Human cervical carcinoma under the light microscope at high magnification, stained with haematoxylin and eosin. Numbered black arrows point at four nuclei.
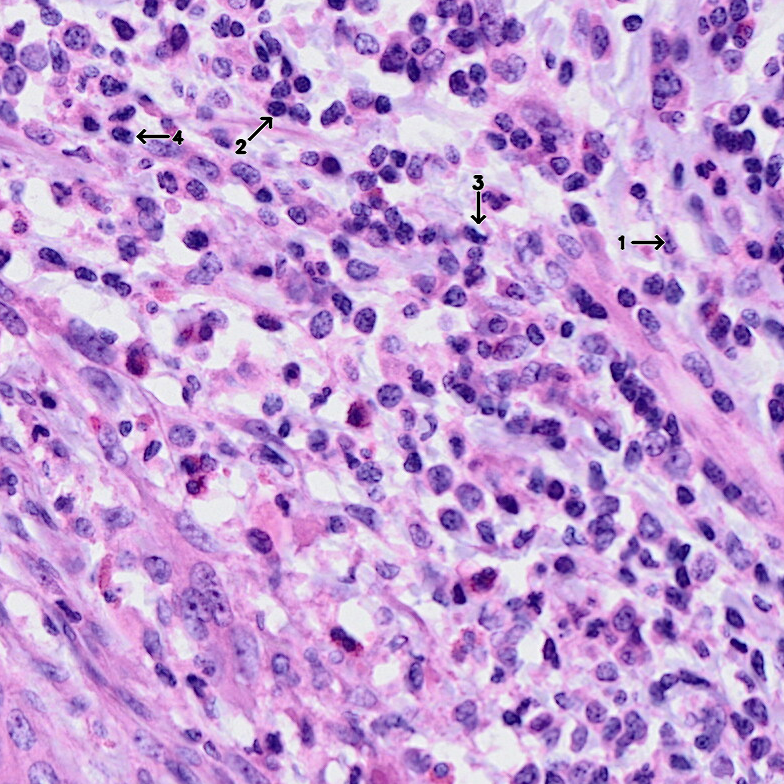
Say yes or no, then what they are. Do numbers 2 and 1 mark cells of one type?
No, the identities are a lymphocyte for cell 2 and a macrophage or monocyte for cell 1.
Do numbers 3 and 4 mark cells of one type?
Yes, cells 3 and 4 both fall under lymphocytes.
